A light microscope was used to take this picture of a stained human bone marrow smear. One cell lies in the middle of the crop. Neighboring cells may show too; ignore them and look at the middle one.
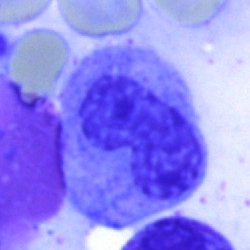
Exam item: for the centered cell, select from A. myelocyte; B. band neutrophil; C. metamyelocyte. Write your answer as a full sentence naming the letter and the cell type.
The cell centred in the crop is a metamyelocyte, and the correct option is thus C.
